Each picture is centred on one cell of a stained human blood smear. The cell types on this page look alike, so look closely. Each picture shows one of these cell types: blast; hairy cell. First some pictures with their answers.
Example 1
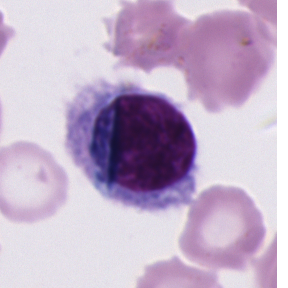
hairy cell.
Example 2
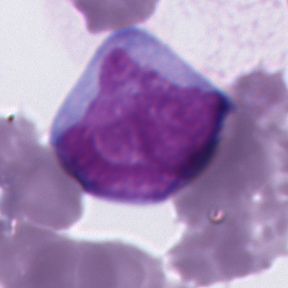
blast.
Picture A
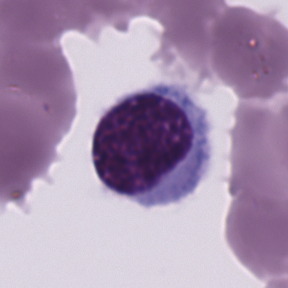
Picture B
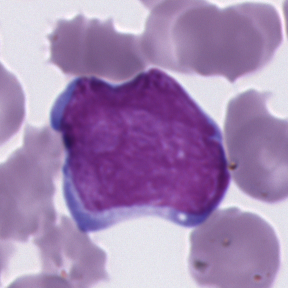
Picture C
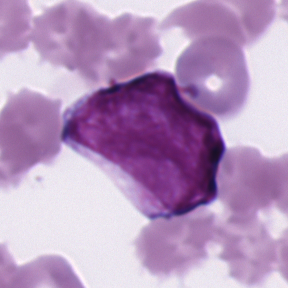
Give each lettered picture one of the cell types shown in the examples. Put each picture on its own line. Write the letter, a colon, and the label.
A: hairy cell.
B: blast.
C: blast.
